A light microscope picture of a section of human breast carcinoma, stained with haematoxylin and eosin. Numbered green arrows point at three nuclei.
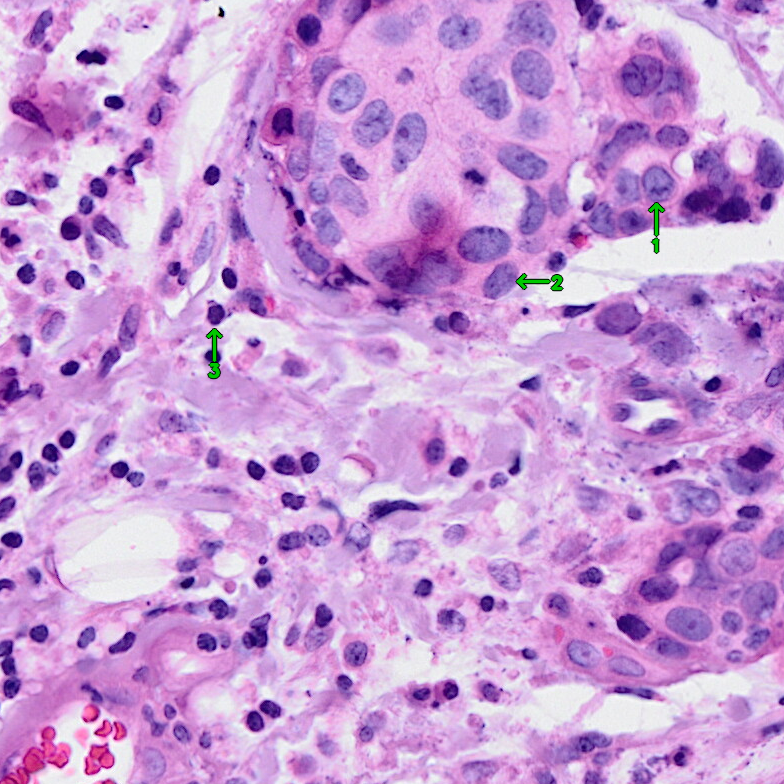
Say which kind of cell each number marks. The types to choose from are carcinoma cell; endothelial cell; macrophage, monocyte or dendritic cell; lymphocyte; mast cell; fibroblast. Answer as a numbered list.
1. carcinoma cell
2. carcinoma cell
3. lymphocyte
